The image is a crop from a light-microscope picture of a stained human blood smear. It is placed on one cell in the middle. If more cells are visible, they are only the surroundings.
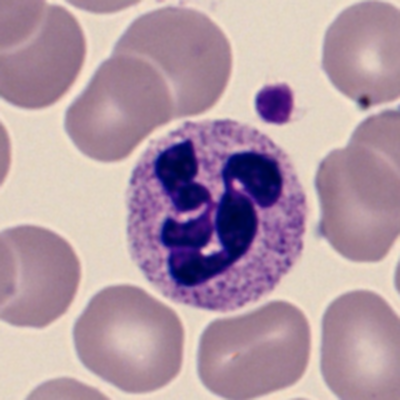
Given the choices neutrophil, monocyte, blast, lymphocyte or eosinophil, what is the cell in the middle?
neutrophil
